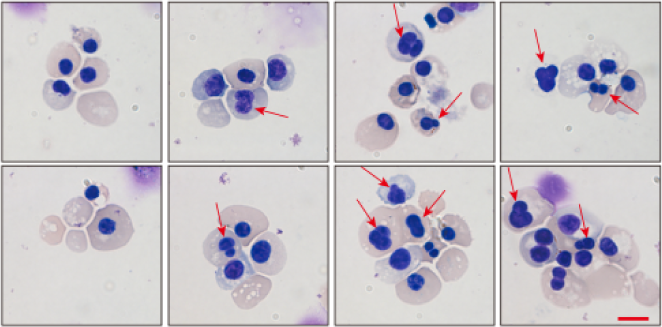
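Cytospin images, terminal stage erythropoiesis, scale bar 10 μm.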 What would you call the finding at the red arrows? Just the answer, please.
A: abnormal nucleus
